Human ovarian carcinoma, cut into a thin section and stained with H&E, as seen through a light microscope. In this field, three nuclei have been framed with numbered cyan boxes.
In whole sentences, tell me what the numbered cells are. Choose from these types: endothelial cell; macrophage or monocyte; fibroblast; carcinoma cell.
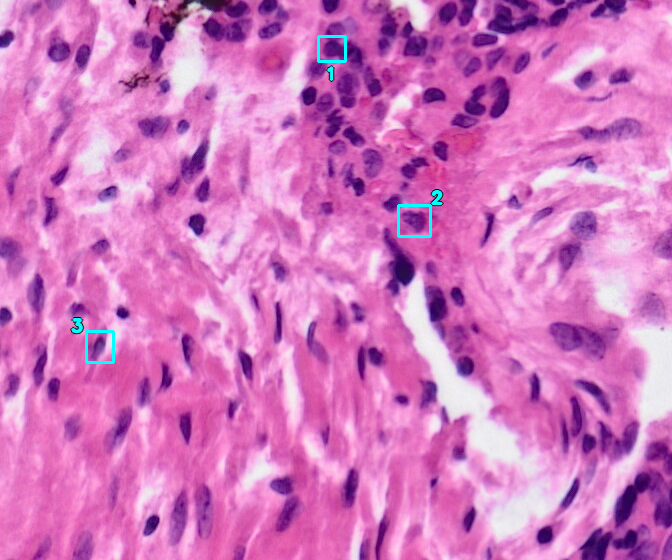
Cell 1 is a carcinoma cell. Cell 2 is a macrophage or monocyte. Cell 3 is a fibroblast.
